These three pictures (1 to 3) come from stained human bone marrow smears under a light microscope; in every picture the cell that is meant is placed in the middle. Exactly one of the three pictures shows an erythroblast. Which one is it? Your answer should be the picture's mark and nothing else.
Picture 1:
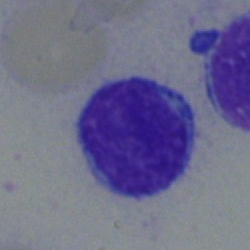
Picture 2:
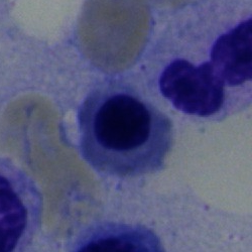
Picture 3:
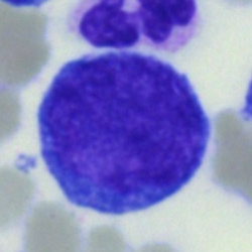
2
